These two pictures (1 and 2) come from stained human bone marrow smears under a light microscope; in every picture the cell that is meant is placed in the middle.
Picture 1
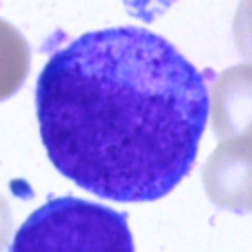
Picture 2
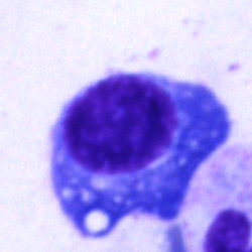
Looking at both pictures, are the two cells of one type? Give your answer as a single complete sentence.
No; the cell in picture 1 is a promyelocyte, while the one in picture 2 is a plasma cell.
